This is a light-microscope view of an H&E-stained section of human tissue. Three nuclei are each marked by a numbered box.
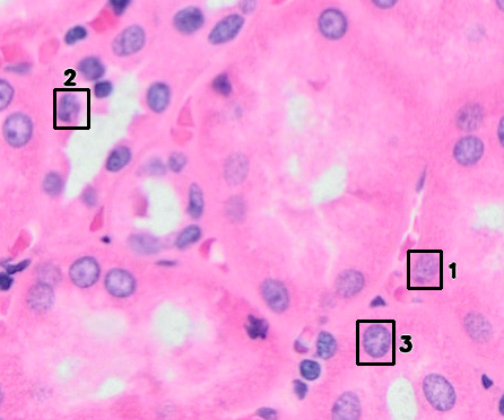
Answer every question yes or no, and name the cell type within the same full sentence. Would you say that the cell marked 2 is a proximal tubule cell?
No; cell 2 is a loop of Henle or distal tubule cell, not a proximal tubule cell.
